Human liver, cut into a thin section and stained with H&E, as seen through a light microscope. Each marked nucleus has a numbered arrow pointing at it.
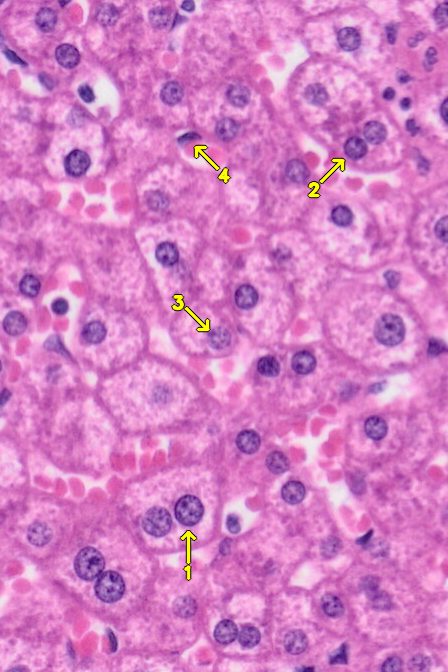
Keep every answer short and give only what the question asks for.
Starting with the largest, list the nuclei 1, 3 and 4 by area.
1, 3, 4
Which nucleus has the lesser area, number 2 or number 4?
4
